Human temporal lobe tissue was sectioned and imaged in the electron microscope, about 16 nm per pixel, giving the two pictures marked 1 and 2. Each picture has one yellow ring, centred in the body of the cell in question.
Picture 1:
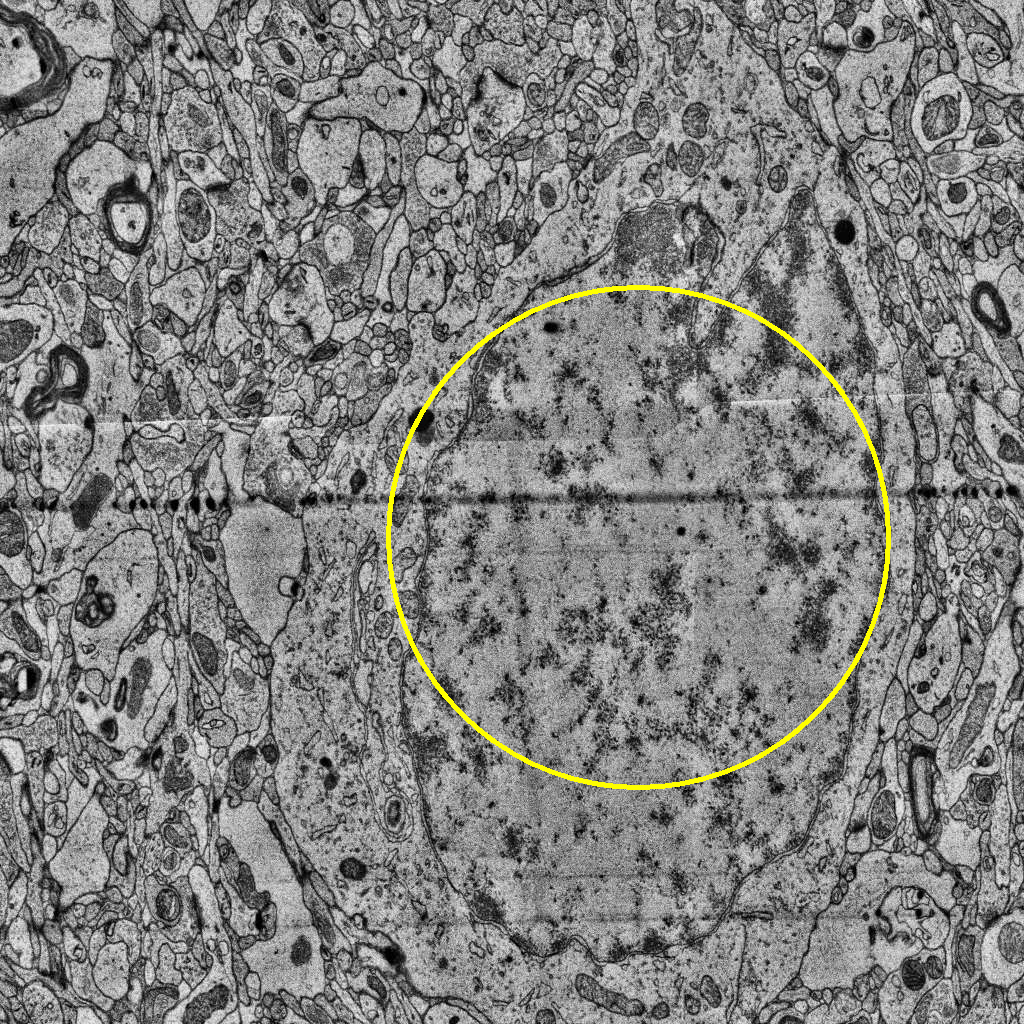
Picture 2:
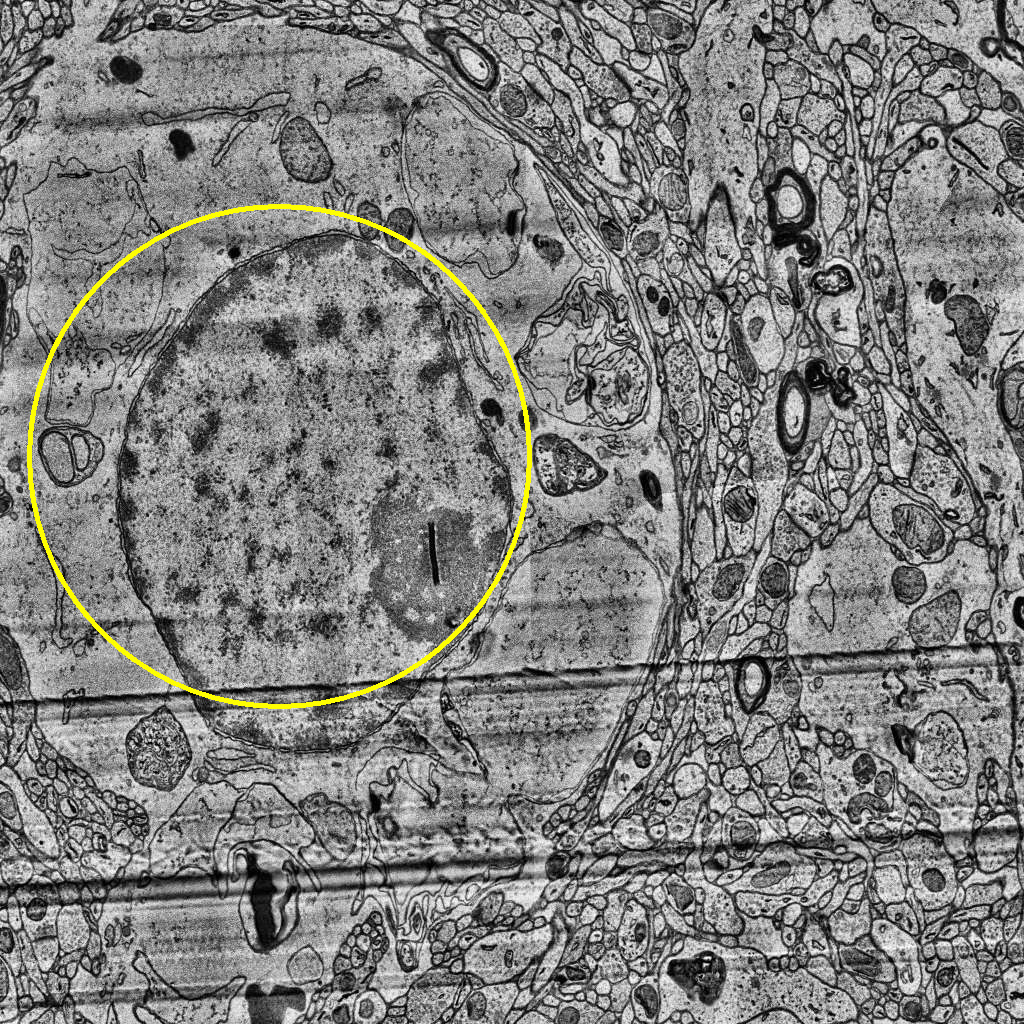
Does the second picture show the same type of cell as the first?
No, the types are not the same, since picture 1 shows an interneuron and picture 2 an astrocyte.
